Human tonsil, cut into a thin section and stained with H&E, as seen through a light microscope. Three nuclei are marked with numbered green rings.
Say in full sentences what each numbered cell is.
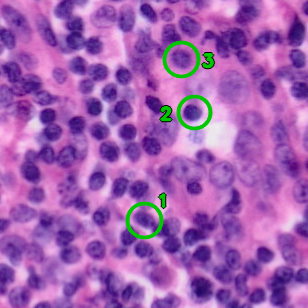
Cell 1 is a small lymphocyte. Cells 2 and 3 are endothelial cells.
